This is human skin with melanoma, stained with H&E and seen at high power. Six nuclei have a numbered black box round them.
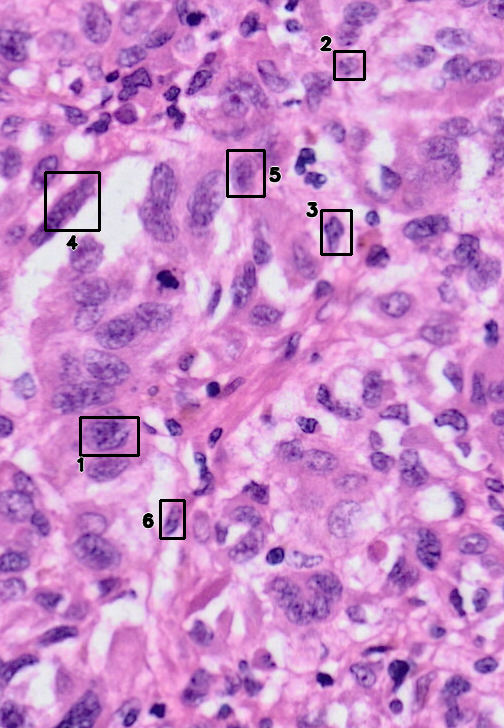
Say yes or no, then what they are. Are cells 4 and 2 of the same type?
Yes, in this tissue section, cells 4 and 2 are both melanoma cells.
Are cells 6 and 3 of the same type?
Yes, in this section cells 6 and 3 are both macrophages or monocytes.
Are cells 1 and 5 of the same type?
Yes, cells 1 and 5 both belong to the category of melanoma cells.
